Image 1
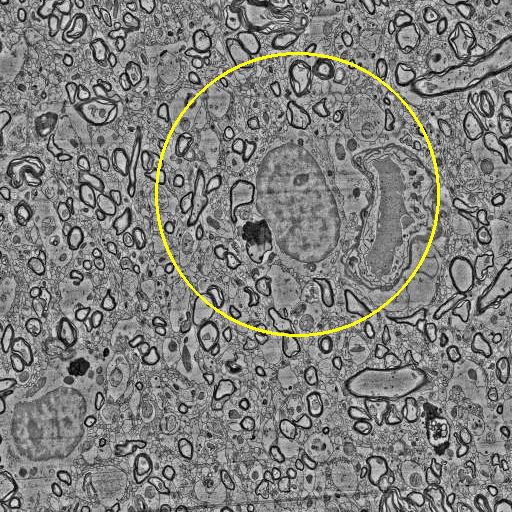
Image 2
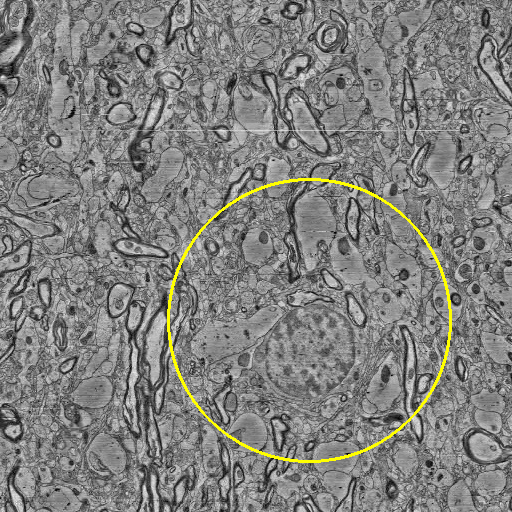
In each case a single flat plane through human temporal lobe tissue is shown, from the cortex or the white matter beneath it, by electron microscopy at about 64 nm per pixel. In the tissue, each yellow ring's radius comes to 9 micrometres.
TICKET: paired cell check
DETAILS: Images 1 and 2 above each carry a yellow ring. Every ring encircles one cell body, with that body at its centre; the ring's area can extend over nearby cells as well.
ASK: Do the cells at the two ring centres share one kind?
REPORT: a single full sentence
Yes, the ring-centre cells of Images 1 and 2 belong to a single kind.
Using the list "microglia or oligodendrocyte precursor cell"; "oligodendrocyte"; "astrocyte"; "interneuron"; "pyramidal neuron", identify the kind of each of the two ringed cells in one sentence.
Each of the two rings surrounds an oligodendrocyte.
